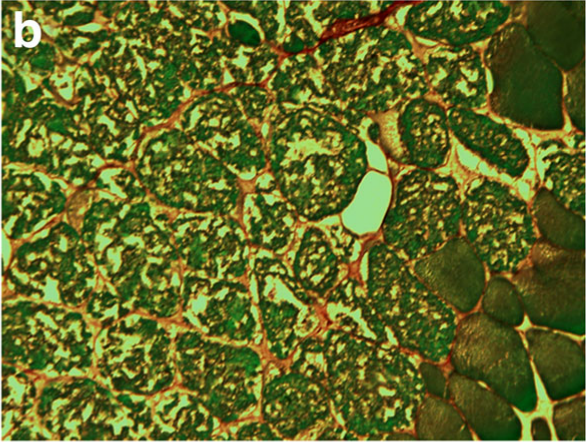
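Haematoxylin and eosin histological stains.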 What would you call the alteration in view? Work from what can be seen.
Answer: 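Degenerated. Most fibre profiles have a mottled, fragmented interior with pale gaps. Fibres at the right edge have a smooth, even interior in contrast.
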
